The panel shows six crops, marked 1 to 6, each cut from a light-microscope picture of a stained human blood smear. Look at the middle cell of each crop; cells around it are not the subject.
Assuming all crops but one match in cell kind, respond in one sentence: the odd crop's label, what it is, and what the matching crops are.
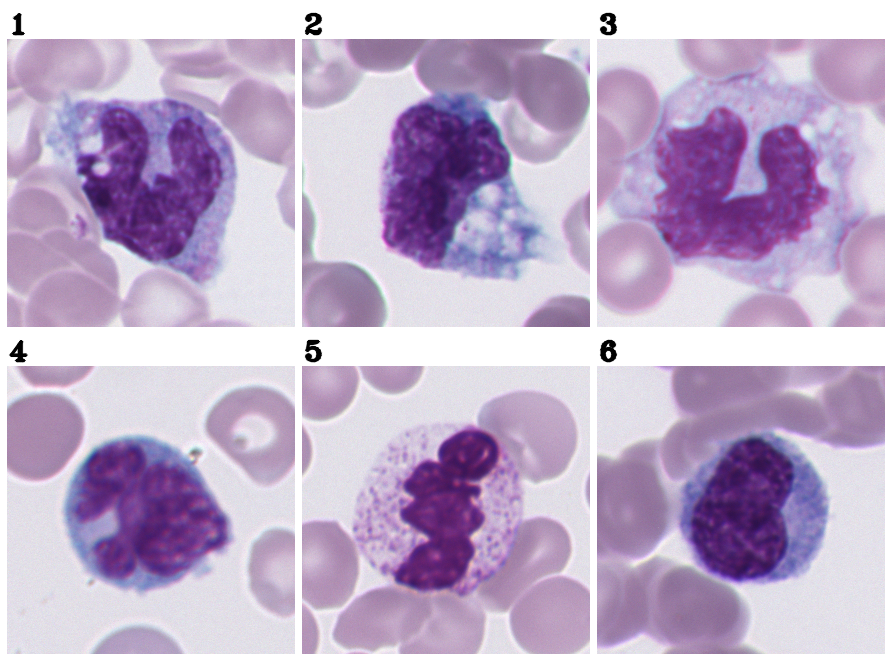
All of the other crops show monocytes; crop 5, by contrast, is a segmented neutrophil.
